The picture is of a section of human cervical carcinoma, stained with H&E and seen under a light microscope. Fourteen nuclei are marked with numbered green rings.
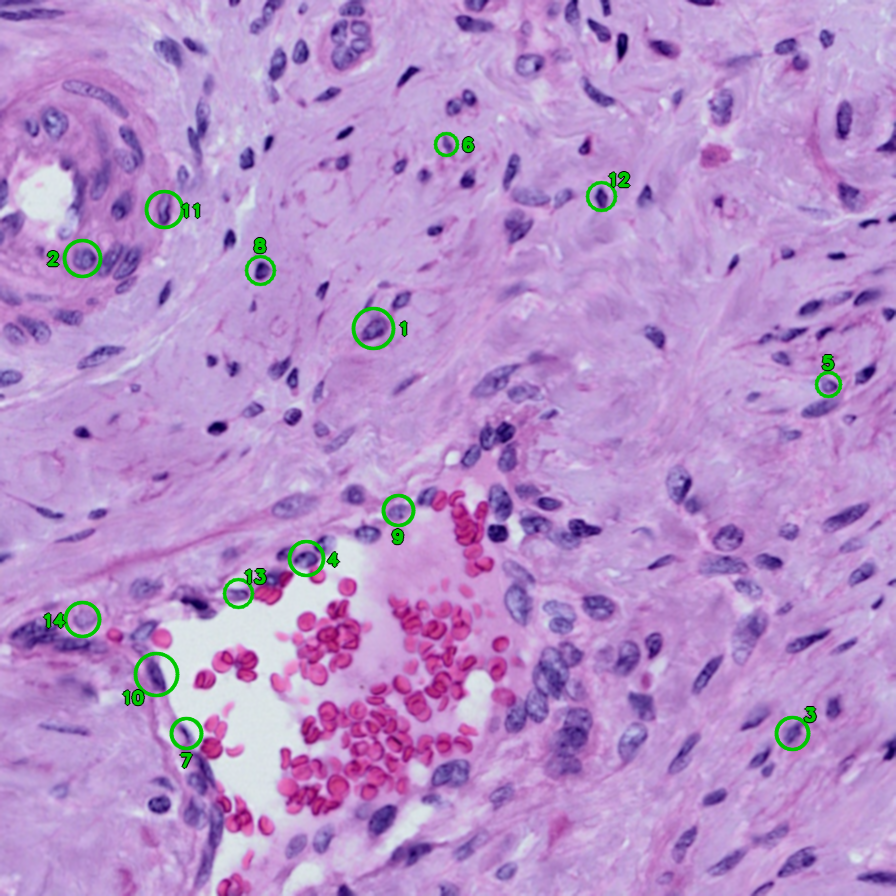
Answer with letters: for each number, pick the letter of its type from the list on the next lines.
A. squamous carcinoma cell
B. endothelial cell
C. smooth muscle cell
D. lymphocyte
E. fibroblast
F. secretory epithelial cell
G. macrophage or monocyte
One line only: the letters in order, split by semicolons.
C; C; C; B; C; C; B; E; B; B; C; E; B; B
